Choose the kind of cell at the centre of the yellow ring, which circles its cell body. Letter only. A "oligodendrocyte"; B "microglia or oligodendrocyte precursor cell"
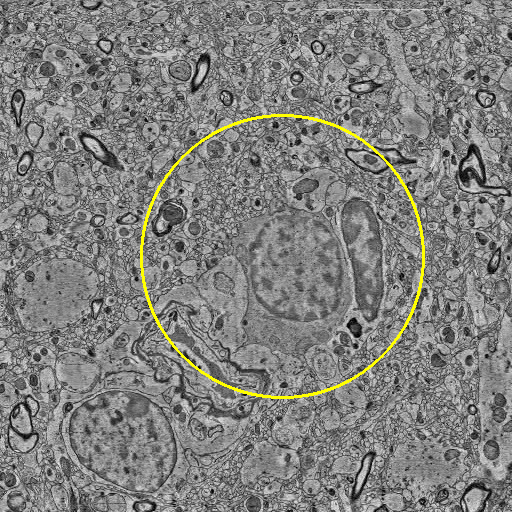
A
